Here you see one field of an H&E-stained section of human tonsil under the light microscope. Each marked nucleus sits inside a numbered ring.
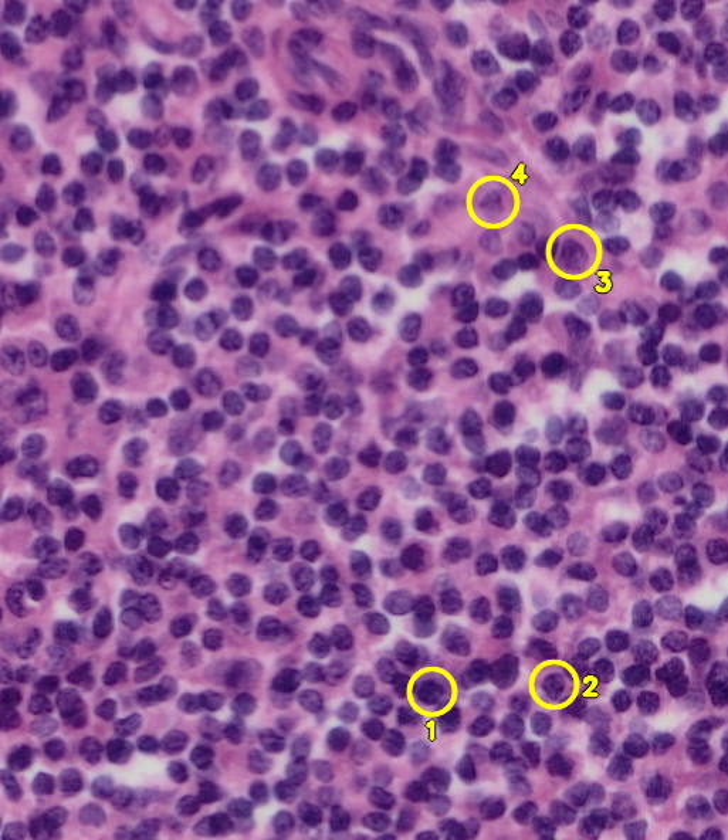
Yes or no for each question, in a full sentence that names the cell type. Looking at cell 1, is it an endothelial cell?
No, for cell 1, the correct identification is a small lymphocyte instead of an endothelial cell.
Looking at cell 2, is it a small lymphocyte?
Yes, the cell tagged with the number 2 is a small lymphocyte.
